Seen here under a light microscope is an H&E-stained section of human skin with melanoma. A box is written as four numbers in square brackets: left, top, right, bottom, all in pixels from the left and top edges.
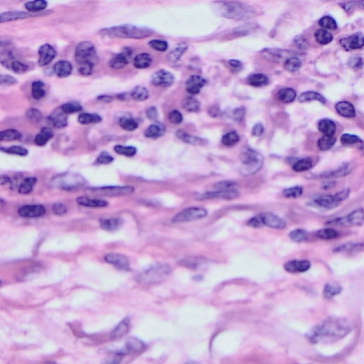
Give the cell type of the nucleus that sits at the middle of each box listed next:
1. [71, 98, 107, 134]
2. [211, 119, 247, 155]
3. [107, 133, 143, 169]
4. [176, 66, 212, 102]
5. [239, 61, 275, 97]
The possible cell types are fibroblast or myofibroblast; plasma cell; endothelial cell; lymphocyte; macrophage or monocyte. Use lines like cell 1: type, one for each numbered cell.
cell 1: lymphocyte
cell 2: plasma cell
cell 3: lymphocyte
cell 4: plasma cell
cell 5: plasma cell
